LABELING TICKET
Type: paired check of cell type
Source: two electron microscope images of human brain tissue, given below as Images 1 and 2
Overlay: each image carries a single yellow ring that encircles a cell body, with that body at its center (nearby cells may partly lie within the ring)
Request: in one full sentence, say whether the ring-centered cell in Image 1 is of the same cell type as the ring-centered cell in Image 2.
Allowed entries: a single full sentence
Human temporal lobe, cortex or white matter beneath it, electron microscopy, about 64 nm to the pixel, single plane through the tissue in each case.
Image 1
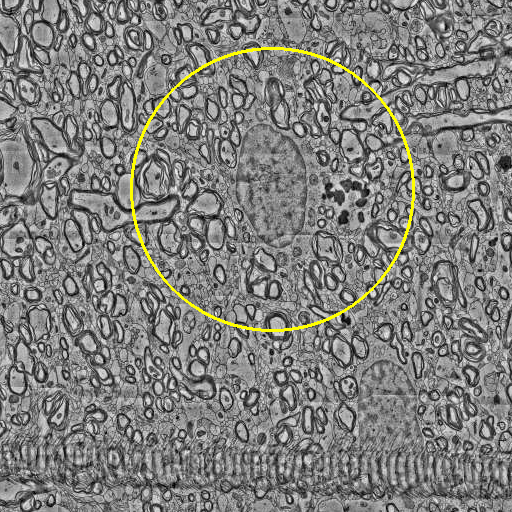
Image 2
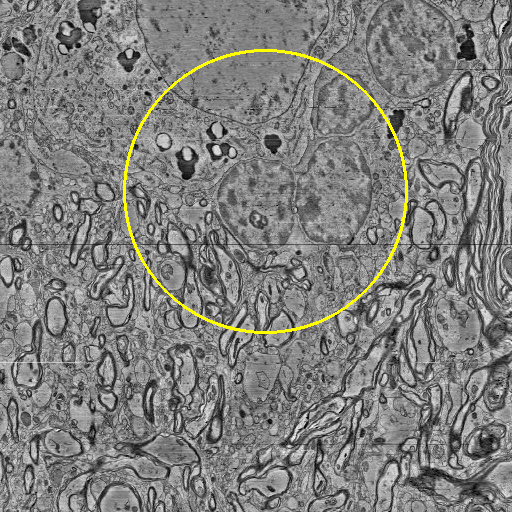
Yes, the cells centered in the rings of Image 1 and Image 2 share one type.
